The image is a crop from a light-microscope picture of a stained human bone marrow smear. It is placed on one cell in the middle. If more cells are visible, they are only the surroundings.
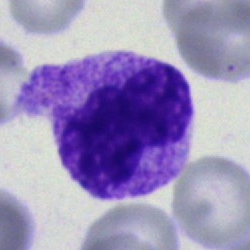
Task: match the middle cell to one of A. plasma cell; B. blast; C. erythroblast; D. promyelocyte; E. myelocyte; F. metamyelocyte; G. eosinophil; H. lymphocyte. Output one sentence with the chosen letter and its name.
It is a metamyelocyte that occupies the centre of the crop, so option F is correct.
